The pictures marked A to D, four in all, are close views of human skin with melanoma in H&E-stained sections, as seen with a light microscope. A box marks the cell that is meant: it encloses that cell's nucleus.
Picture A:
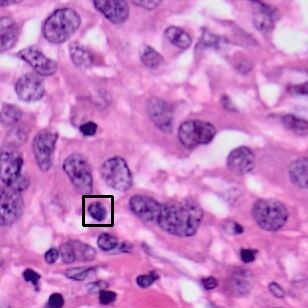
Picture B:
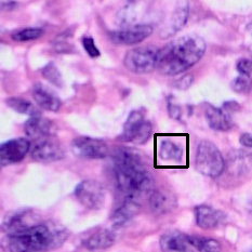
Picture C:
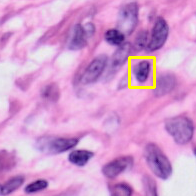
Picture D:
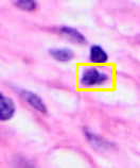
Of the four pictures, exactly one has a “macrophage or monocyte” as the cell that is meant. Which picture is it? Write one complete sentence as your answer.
Picture B is the one that shows the “macrophage or monocyte”.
